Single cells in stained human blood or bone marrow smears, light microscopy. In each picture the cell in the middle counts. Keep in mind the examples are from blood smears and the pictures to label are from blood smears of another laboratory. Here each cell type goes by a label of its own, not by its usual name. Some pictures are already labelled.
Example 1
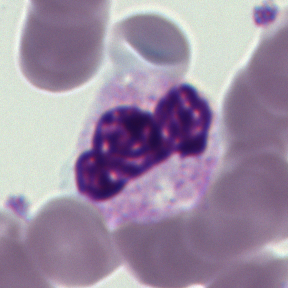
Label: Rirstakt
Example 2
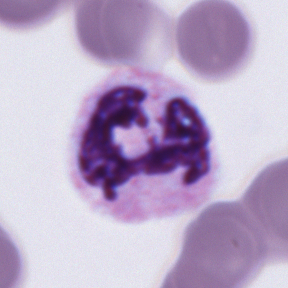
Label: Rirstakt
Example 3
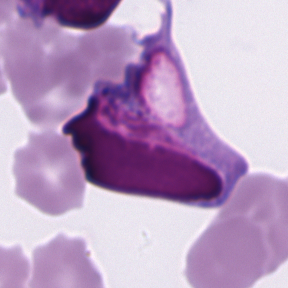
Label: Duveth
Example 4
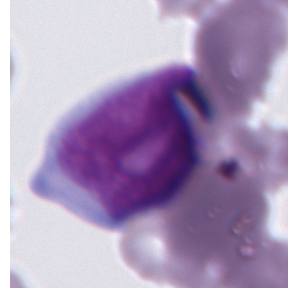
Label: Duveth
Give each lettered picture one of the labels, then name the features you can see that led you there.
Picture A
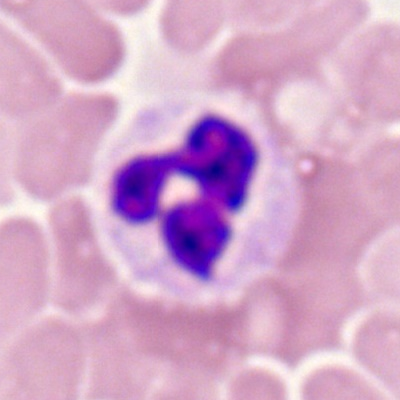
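Rirstakt. Reason: The nucleus is divided into three lobes.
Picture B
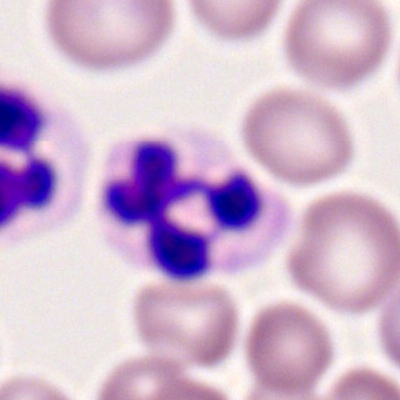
Rirstakt. Reason: The nucleus is divided into several separate lobes.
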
